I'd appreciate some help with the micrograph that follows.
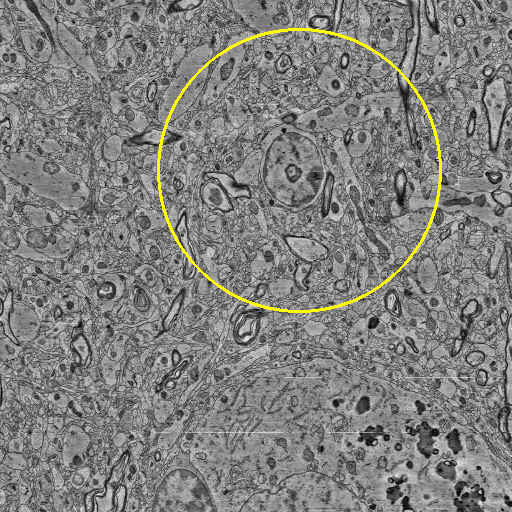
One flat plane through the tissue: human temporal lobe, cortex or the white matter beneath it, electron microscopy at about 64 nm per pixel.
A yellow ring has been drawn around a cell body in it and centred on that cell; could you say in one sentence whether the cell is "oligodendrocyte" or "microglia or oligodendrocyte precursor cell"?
It is a microglial cell or oligodendrocyte precursor cell at the centre of the ring.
